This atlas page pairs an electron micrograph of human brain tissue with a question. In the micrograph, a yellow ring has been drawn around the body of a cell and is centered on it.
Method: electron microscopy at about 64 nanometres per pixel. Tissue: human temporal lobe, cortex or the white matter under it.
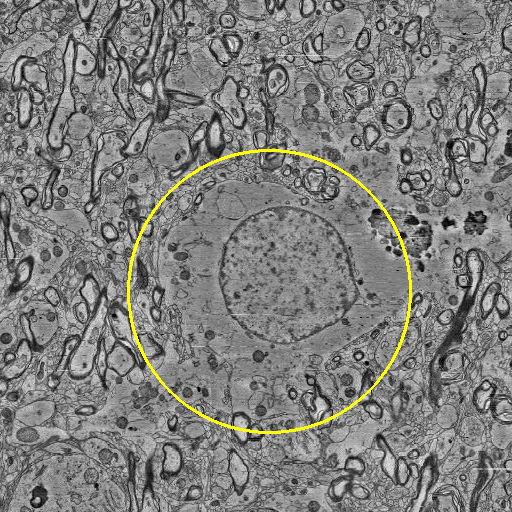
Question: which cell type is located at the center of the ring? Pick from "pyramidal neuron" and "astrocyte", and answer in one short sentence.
Located at the center of the ring is an astrocyte.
